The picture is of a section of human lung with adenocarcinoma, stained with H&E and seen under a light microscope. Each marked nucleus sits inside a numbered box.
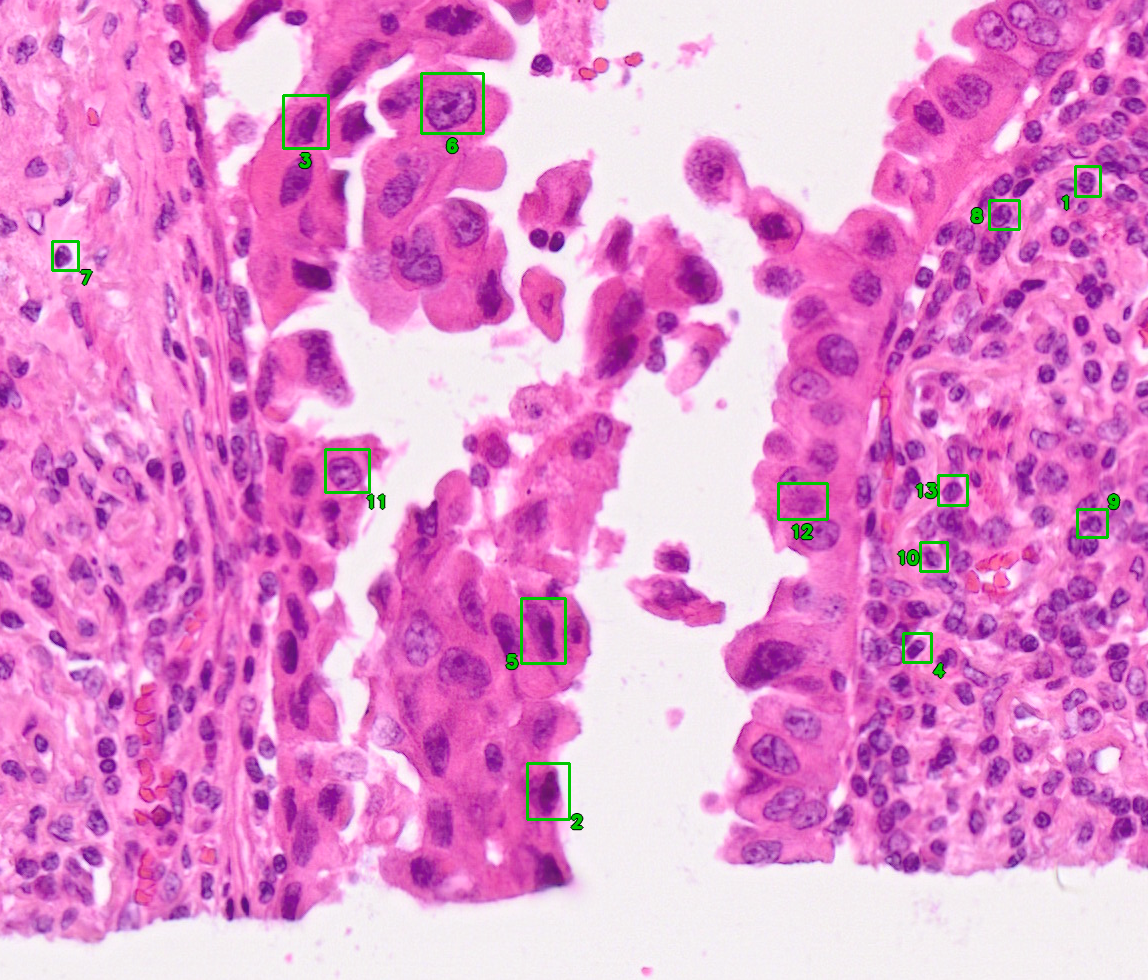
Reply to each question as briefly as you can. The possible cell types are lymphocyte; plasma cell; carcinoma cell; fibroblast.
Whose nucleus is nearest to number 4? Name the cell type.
plasma cell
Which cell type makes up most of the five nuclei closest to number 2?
carcinoma cell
